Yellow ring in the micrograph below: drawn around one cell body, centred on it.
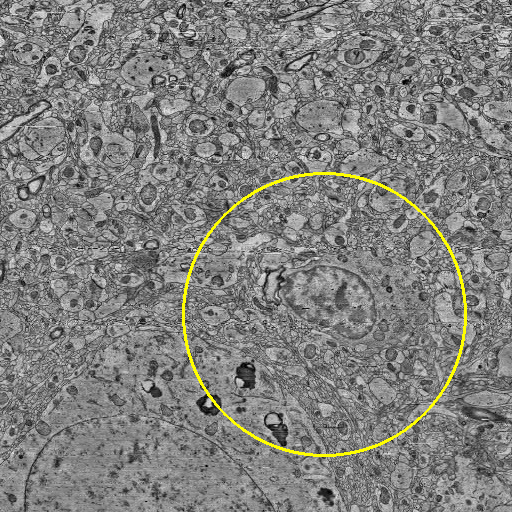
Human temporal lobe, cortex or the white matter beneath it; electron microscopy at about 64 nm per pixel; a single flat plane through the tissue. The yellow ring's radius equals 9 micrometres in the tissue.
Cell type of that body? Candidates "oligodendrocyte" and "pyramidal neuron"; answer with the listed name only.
oligodendrocyte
